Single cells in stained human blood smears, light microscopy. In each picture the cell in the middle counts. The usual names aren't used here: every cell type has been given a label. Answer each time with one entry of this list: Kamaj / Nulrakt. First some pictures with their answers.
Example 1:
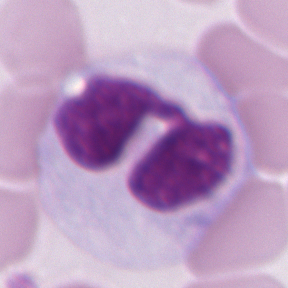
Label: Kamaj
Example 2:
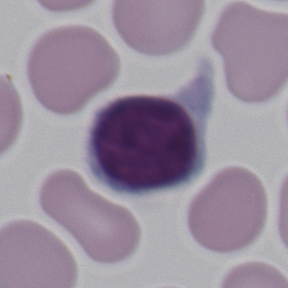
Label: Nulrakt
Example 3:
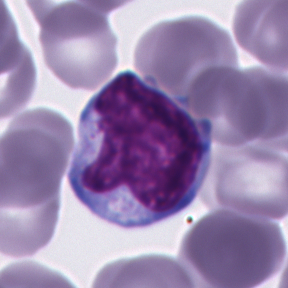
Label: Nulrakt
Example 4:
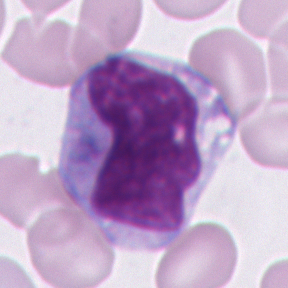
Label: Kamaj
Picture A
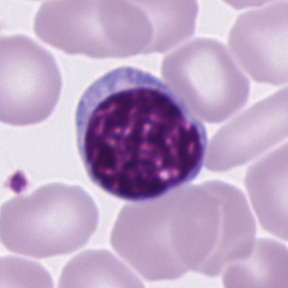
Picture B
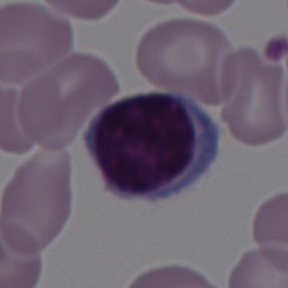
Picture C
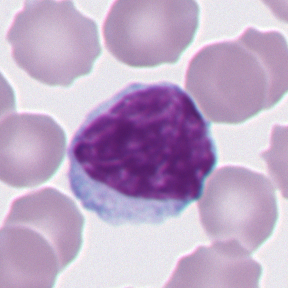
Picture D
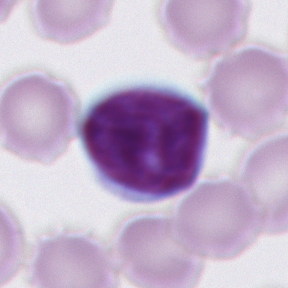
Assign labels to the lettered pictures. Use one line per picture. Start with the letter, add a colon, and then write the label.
A: Nulrakt
B: Nulrakt
C: Nulrakt
D: Nulrakt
